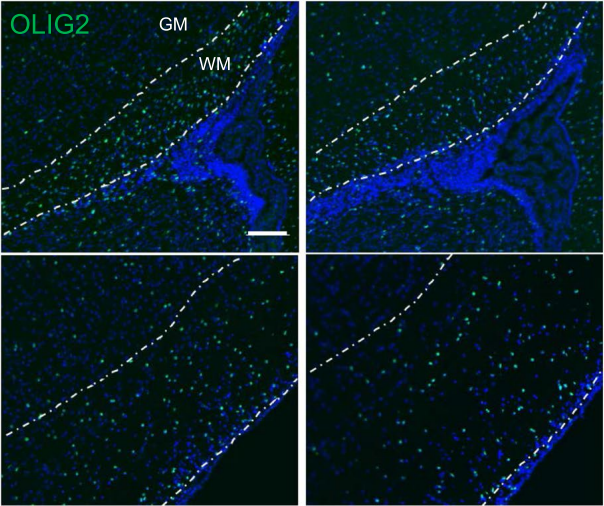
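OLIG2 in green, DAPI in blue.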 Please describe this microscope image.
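Blue nuclei are scattered through all the tissue. The green cells show no visible processes at this magnification, only their nuclei.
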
